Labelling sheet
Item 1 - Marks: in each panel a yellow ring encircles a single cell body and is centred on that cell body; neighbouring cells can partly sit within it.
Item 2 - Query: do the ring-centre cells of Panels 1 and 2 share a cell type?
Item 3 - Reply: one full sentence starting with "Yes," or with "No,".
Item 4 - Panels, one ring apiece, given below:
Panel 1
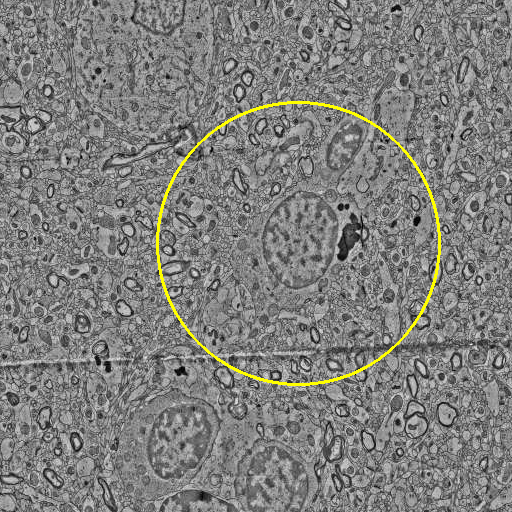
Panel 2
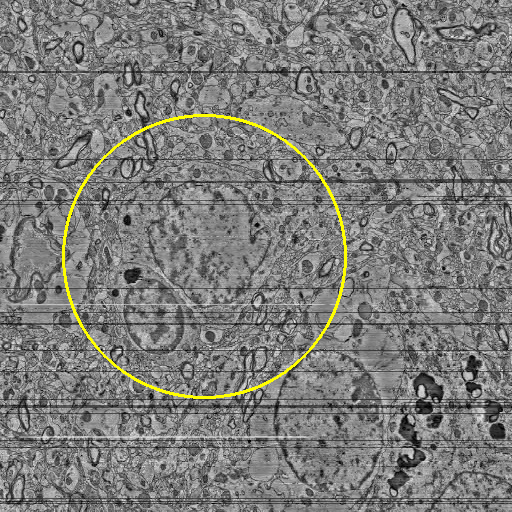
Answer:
No, Panel 1 and Panel 2 show two cell types at the centres of their rings.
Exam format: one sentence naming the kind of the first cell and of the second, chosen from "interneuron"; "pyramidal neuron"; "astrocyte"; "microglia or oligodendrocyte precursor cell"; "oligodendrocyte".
The first picture's cell is an oligodendrocyte, and the second picture's cell is an interneuron.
